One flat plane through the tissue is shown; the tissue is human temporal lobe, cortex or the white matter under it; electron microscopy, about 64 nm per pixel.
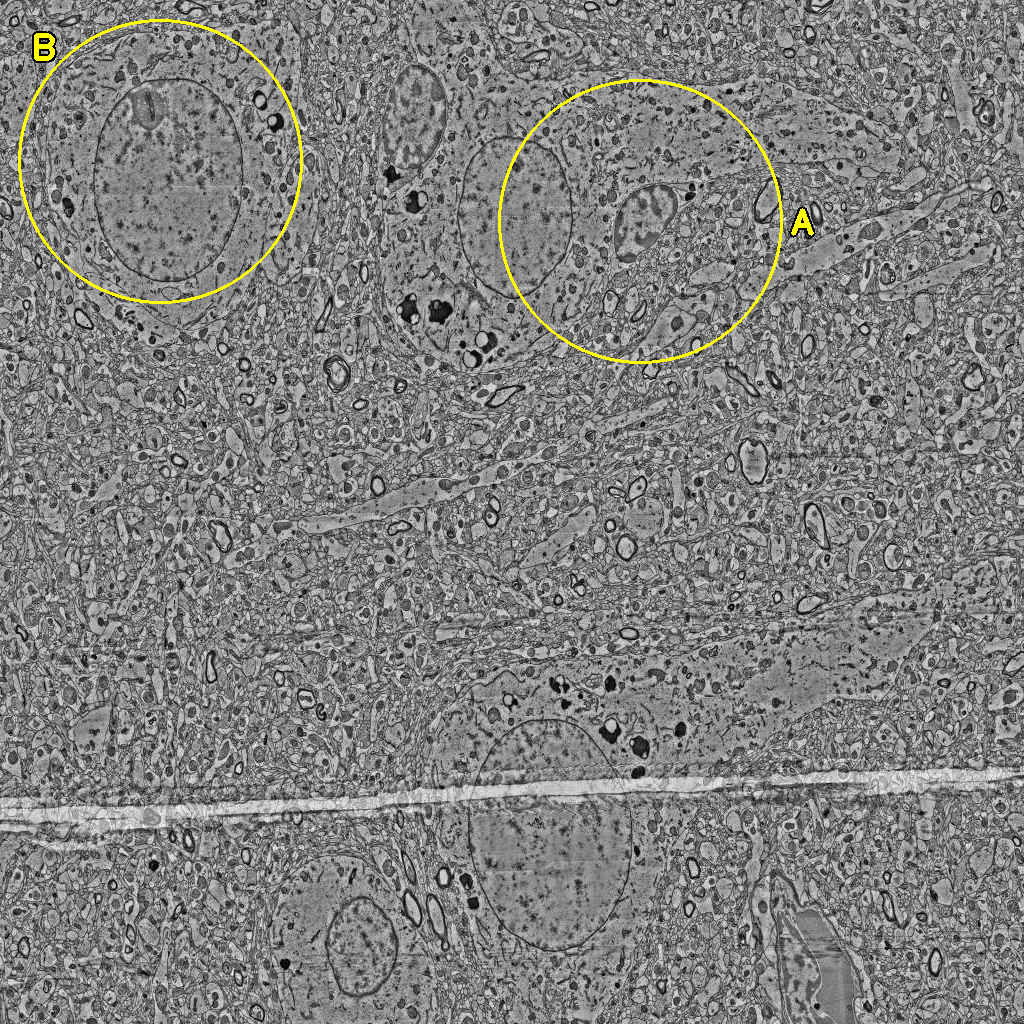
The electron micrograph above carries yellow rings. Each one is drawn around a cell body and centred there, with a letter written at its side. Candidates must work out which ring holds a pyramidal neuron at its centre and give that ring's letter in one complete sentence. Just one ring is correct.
Letter B marks the ring whose centre holds that kind of cell.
